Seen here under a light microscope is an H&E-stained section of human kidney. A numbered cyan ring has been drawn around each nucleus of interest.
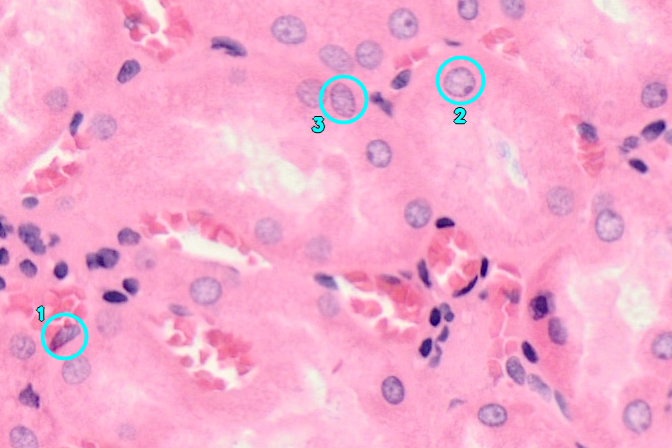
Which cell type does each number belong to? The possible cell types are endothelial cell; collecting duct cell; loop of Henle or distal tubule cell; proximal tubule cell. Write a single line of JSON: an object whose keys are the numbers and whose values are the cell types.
{"1": "endothelial cell", "2": "proximal tubule cell", "3": "proximal tubule cell"}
